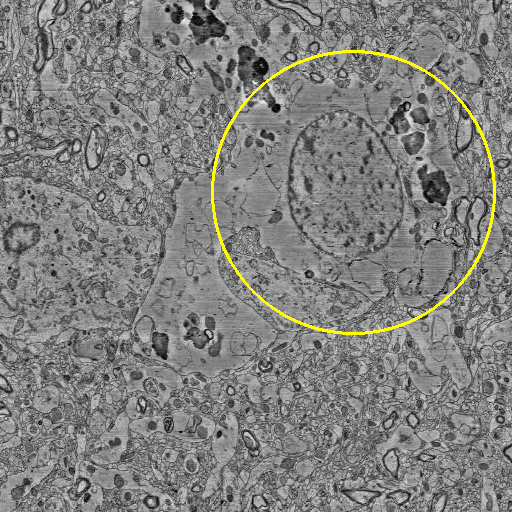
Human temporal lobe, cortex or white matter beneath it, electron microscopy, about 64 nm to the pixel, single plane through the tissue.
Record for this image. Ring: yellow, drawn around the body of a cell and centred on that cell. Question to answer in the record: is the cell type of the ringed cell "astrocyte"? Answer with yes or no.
yes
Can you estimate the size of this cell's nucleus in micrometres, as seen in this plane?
About 10 by 8 micrometers for the nucleus, in this plane.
